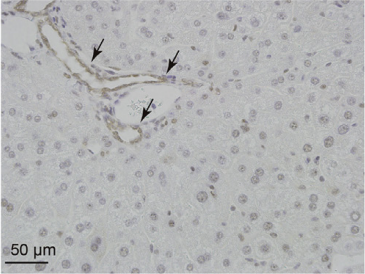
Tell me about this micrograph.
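This is liver tissue with hepatocytes surrounding a portal area containing a vessel and a small duct. The hepatocytes are large polygonal cells with pale cytoplasm and round nuclei, which here are stained blue-purple by the counterstain rather than brown.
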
